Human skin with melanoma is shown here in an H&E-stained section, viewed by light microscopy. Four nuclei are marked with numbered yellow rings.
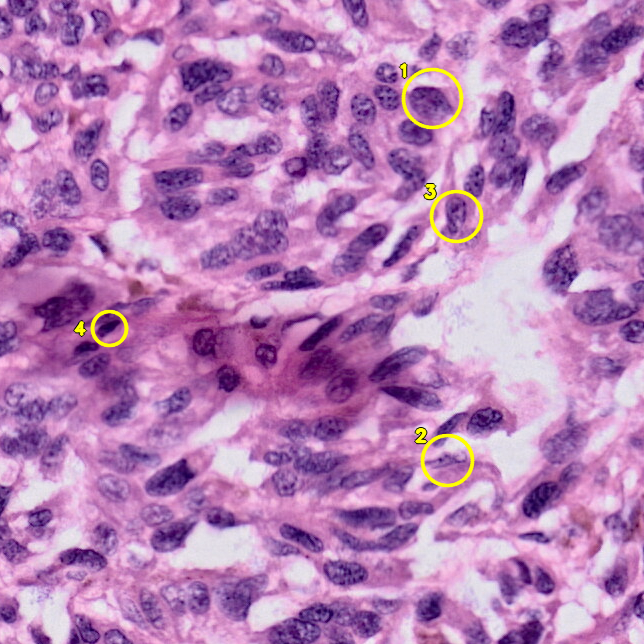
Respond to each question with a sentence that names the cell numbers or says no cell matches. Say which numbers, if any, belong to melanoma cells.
The cells assigned the numbers 1, 2 and 3 are melanoma cells.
